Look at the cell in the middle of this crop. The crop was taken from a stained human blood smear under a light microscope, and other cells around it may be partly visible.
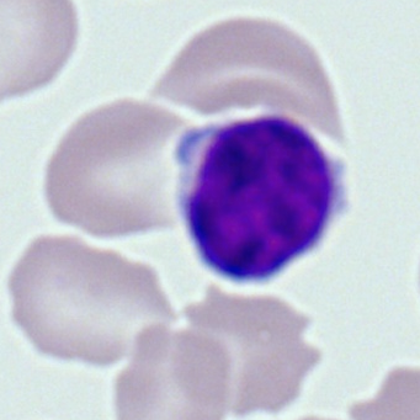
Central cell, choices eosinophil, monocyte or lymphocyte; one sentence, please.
The cell of interest, in the center, is a lymphocyte.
